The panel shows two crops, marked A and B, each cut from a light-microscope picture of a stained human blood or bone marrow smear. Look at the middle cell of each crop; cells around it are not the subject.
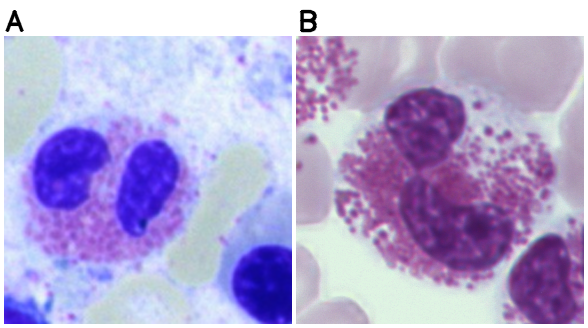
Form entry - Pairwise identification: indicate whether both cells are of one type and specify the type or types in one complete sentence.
Yes, the two crops show eosinophils, one cell each.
